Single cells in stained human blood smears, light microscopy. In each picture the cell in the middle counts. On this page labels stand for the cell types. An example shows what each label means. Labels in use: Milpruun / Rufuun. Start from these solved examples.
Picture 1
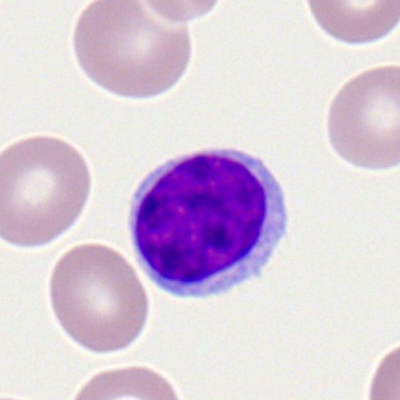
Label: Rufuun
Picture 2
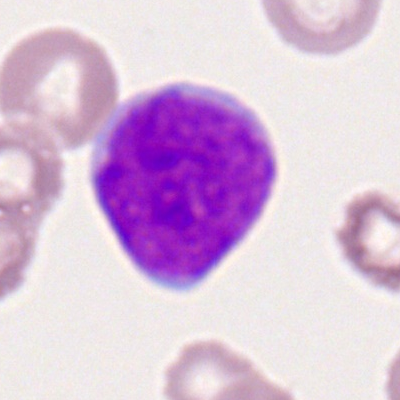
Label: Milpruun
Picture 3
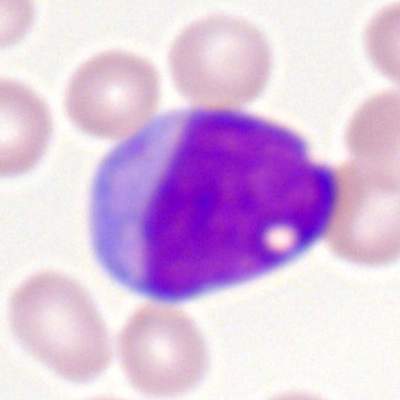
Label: Milpruun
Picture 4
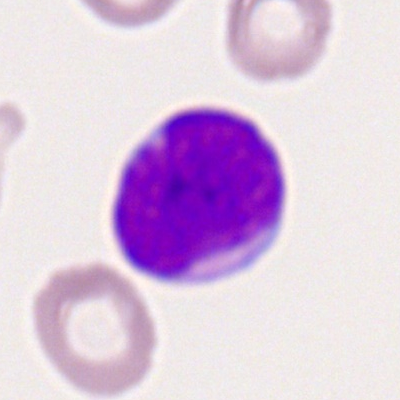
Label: Milpruun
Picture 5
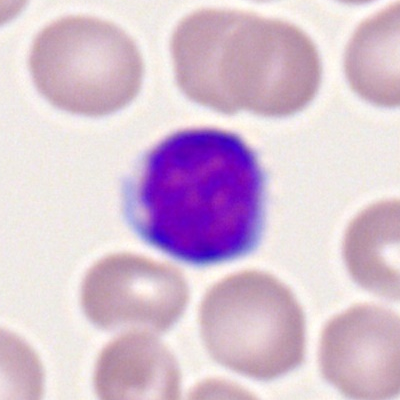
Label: Rufuun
